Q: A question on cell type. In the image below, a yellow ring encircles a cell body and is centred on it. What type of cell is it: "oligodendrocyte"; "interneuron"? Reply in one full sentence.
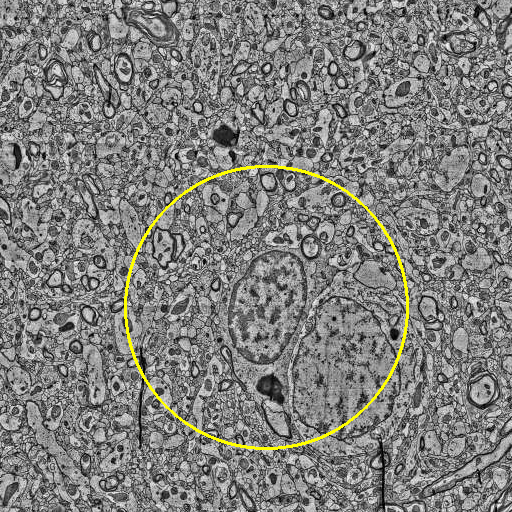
It is an oligodendrocyte whose cell body sits at the centre of the yellow ring in the image.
